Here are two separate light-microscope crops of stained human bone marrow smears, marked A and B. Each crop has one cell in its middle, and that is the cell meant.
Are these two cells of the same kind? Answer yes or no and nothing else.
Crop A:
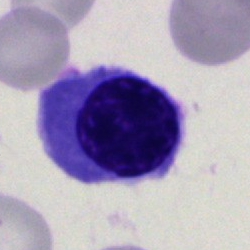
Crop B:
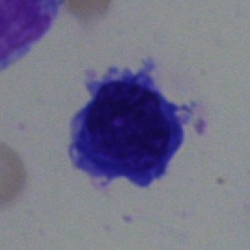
yes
